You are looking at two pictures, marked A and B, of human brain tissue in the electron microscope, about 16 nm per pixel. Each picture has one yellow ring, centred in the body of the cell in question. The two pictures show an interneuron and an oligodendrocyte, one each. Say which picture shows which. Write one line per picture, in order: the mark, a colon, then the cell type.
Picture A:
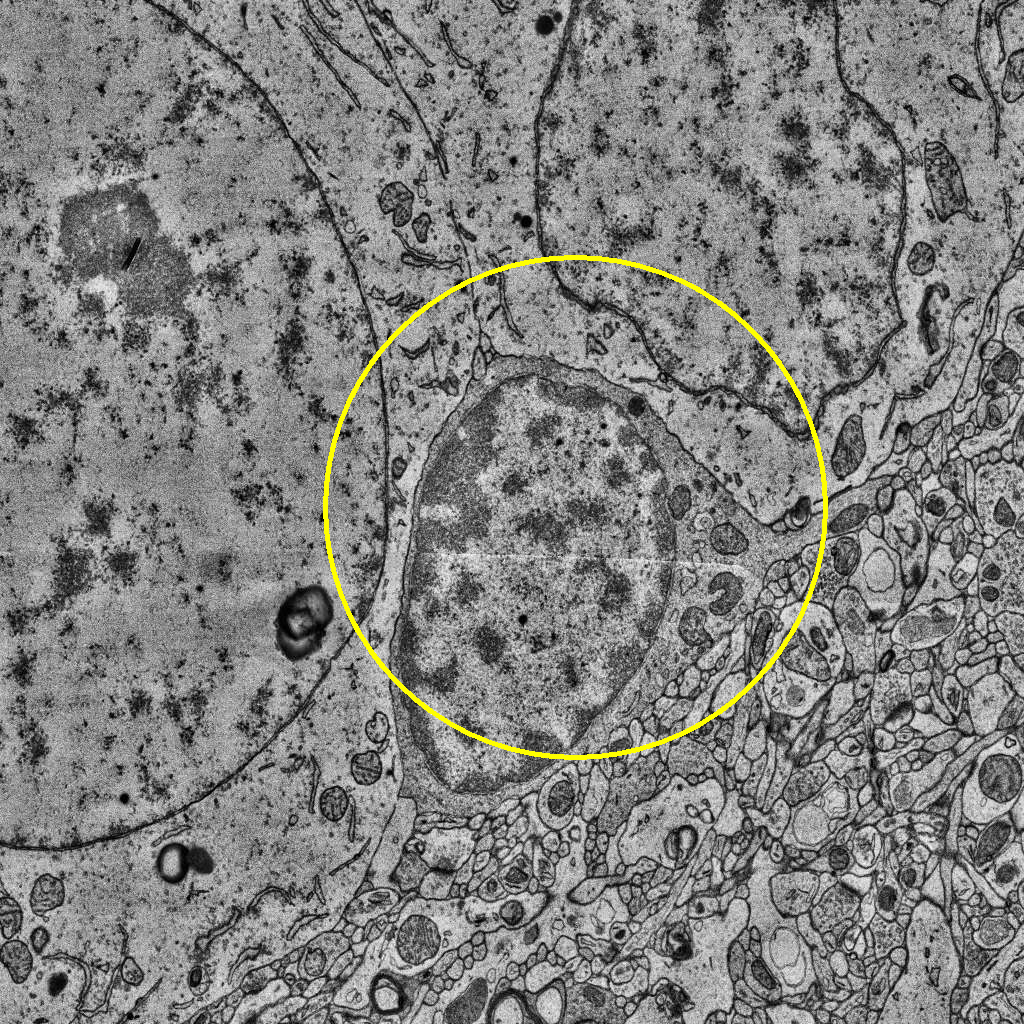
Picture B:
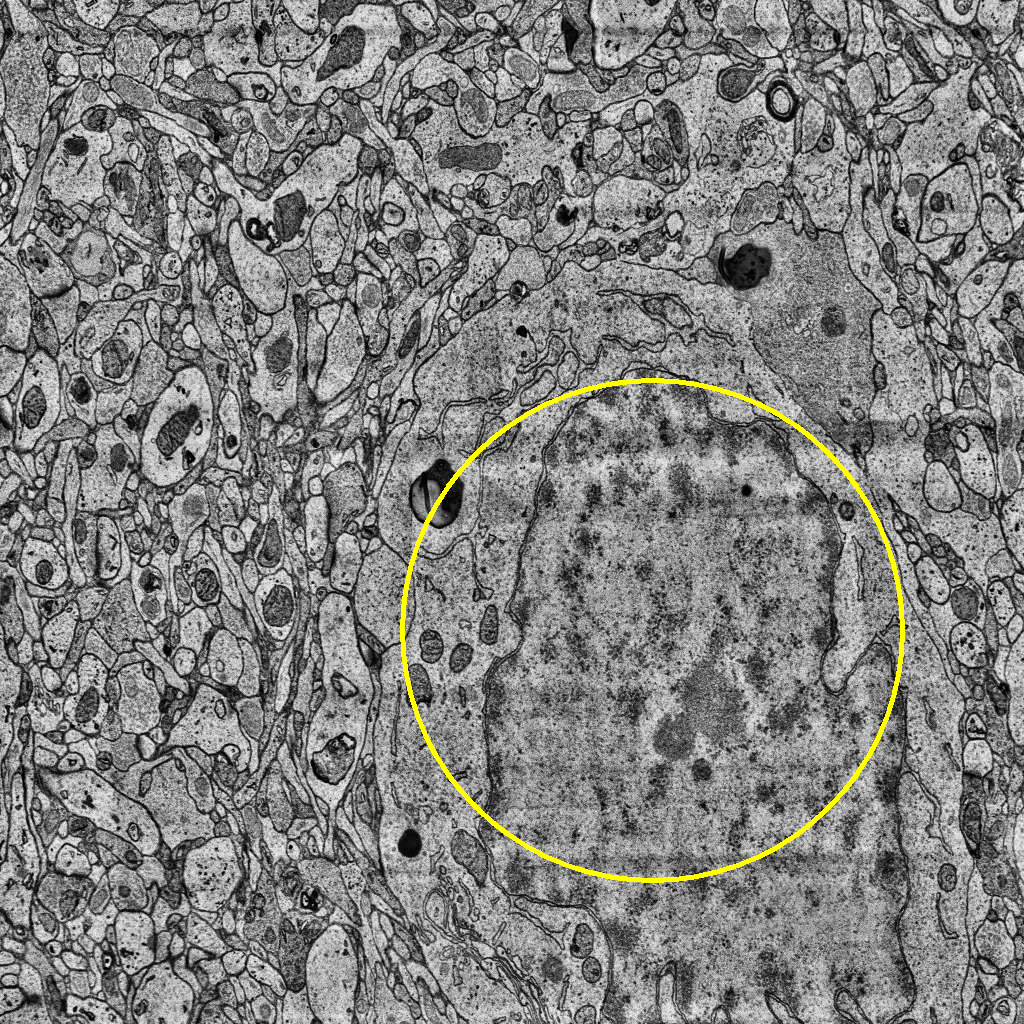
A: oligodendrocyte
B: interneuron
